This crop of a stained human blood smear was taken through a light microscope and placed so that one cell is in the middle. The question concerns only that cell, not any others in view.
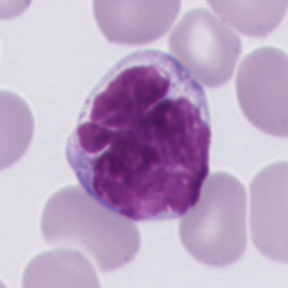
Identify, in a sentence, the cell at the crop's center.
This particular crop is centered on a large granular lymphocyte.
